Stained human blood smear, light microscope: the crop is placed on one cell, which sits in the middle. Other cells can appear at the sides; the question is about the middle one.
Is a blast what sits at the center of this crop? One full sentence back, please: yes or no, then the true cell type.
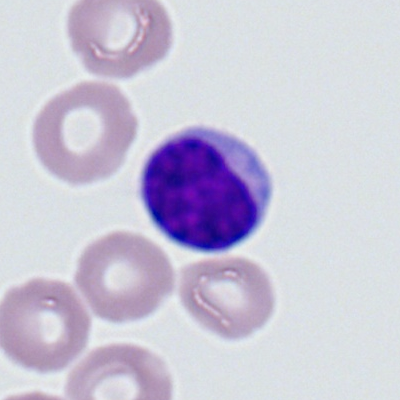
No, the centre cell is not a blast but a lymphocyte.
